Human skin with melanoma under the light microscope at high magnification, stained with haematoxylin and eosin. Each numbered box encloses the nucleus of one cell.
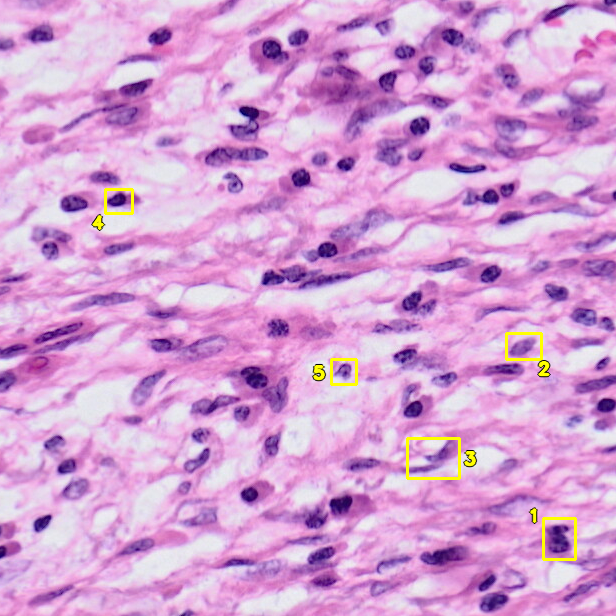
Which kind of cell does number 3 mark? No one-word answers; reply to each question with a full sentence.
The cell tagged with 3 in this tissue section is a fibroblast or myofibroblast.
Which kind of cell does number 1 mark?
Classified as a plasma cell is the cell with the number 1.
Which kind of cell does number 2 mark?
The cell referred to as 2 is a fibroblast or myofibroblast.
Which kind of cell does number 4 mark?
The cell pointed out by number 4 is a plasma cell.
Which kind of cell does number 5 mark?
The marked nucleus 5 is that of a lymphocyte.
